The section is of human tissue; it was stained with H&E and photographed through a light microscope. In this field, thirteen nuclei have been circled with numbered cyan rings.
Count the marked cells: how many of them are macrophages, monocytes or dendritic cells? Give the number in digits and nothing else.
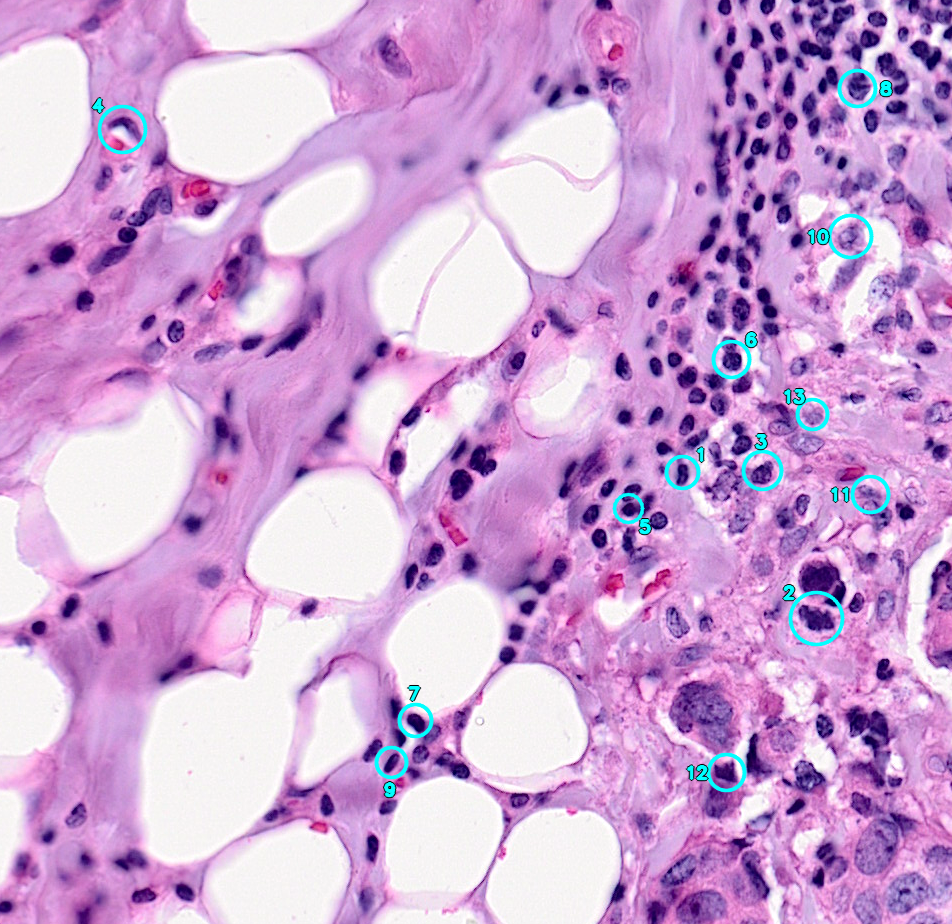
2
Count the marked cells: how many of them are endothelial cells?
2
